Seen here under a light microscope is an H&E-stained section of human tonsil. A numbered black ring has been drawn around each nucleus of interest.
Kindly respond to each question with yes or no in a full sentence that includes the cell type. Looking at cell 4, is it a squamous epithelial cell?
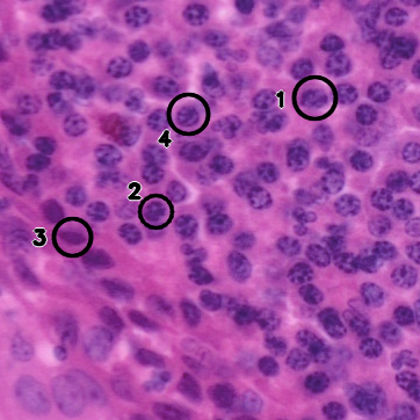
No, number 4 is not a squamous epithelial cell but a plasma cell.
